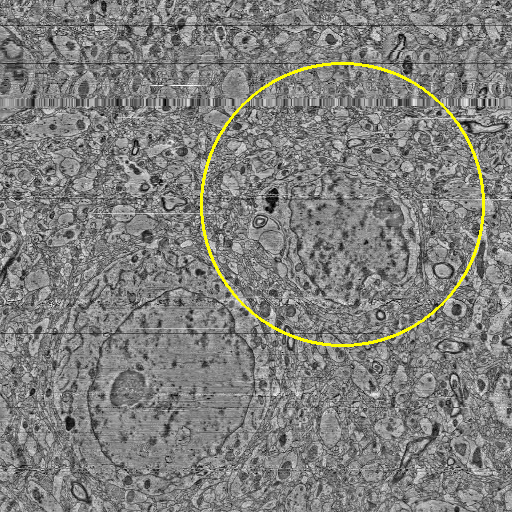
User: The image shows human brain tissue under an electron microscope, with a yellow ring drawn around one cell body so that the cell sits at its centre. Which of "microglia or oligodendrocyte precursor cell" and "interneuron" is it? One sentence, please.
At the centre of the ring sits an interneuron.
